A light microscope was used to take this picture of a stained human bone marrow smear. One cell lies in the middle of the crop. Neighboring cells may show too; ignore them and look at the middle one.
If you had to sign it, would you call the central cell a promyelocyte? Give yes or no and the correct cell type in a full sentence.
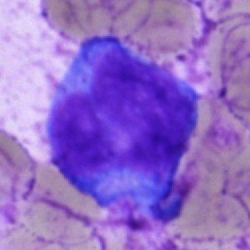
No, it is a blast rather than a promyelocyte that the middle of the crop contains.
